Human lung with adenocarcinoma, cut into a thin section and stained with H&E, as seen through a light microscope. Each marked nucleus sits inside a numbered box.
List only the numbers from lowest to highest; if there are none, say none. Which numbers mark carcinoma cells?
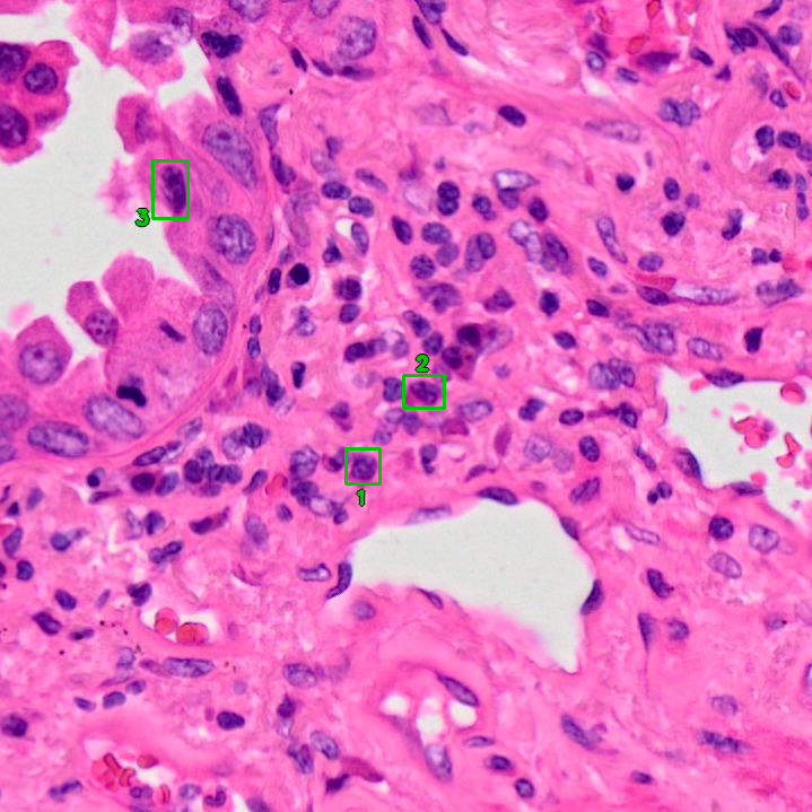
3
